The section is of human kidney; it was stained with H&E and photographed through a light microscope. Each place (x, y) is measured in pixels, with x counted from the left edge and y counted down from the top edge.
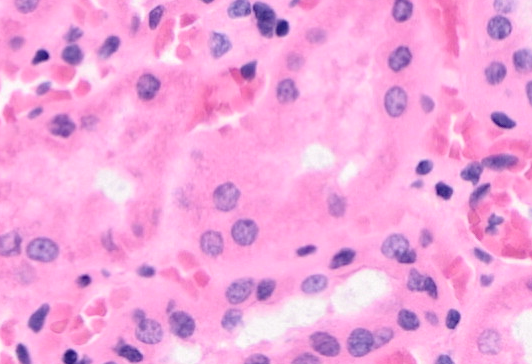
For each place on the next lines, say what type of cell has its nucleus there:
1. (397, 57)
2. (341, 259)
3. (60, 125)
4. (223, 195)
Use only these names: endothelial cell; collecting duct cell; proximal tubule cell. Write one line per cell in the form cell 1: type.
cell 1: proximal tubule cell
cell 2: collecting duct cell
cell 3: proximal tubule cell
cell 4: proximal tubule cell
